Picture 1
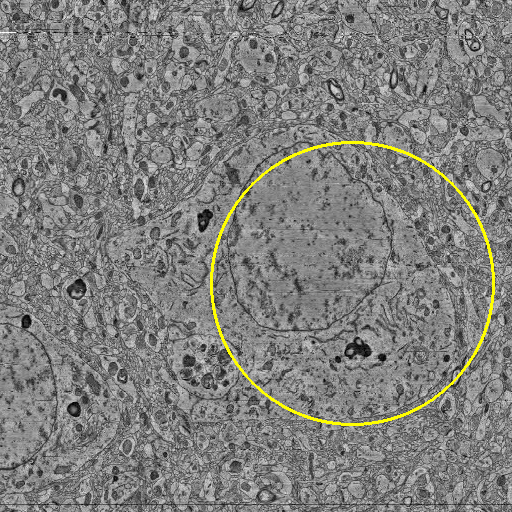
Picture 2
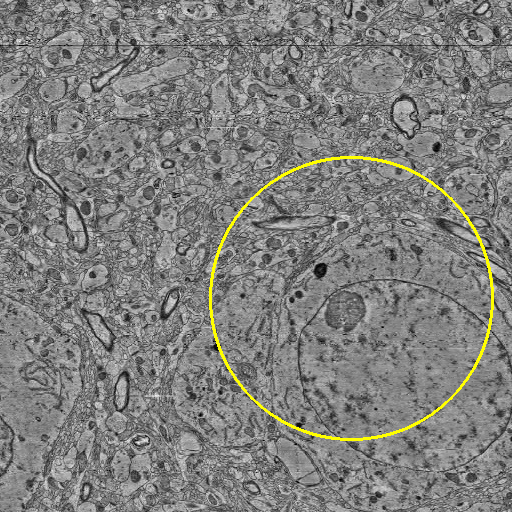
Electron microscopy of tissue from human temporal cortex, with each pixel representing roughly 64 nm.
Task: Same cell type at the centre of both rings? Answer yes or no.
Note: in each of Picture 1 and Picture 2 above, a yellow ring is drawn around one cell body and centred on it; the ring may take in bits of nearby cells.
yes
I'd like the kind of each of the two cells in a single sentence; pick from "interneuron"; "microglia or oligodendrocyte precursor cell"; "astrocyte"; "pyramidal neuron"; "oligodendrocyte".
Each of the two cells is a pyramidal neuron.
